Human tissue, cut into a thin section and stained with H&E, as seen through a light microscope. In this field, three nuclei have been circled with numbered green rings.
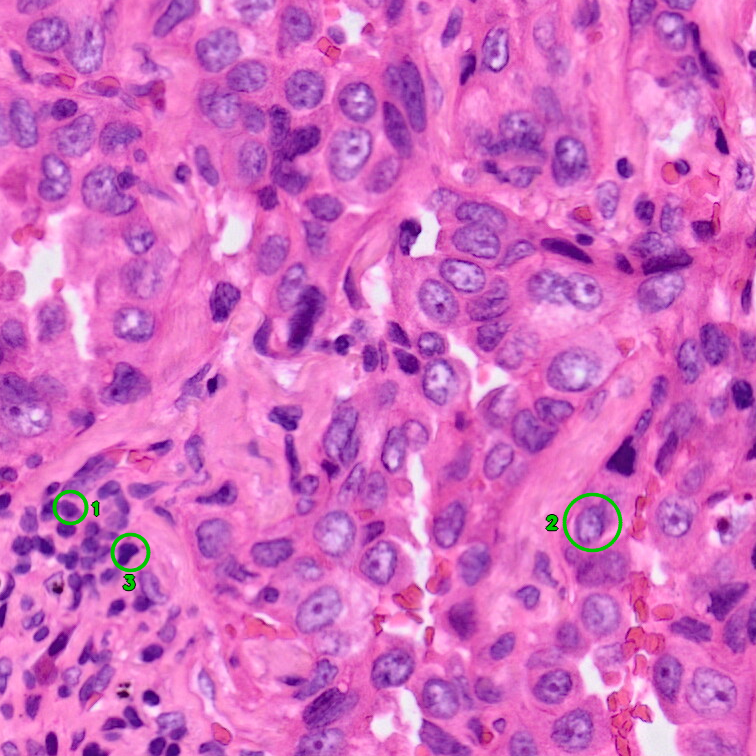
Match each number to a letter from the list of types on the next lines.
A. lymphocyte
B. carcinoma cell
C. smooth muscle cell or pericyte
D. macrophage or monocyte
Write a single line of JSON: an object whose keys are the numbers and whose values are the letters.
{"1": "A", "2": "B", "3": "A"}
